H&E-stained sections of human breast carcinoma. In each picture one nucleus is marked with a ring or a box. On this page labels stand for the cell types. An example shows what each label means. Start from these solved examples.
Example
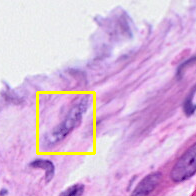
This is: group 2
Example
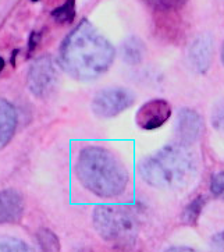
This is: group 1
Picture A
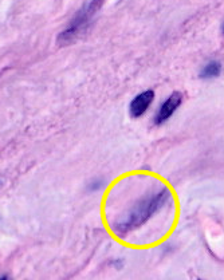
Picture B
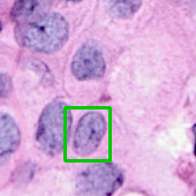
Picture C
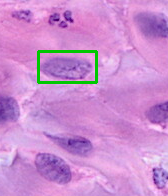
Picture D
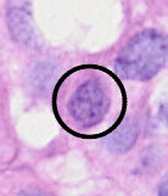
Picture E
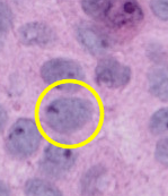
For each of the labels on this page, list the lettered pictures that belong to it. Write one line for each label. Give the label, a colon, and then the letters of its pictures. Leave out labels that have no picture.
group 2: A, C
group 1: B, D, E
